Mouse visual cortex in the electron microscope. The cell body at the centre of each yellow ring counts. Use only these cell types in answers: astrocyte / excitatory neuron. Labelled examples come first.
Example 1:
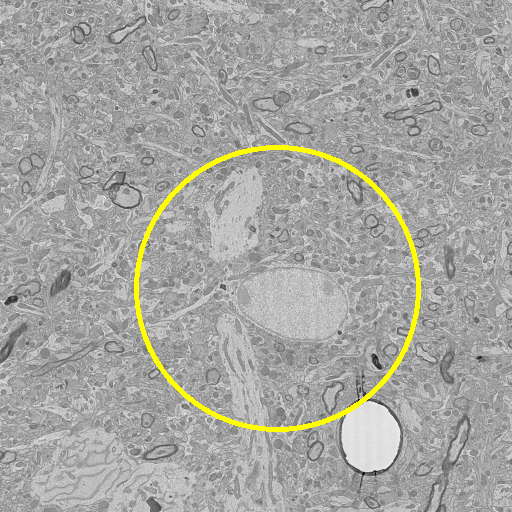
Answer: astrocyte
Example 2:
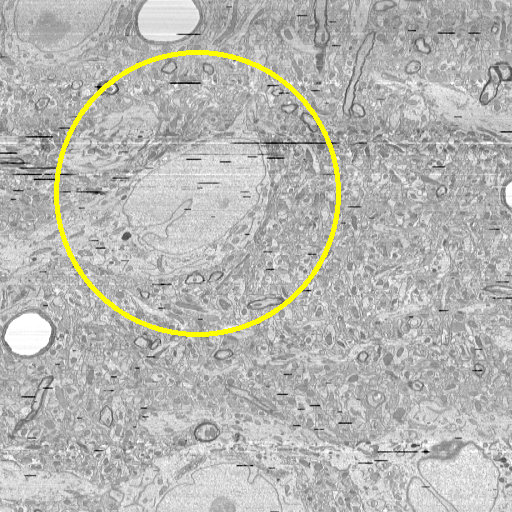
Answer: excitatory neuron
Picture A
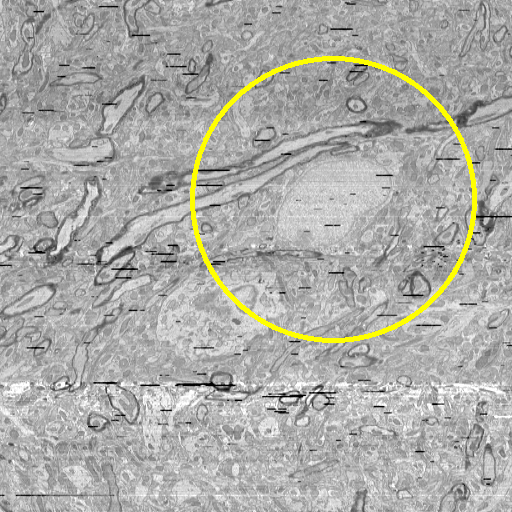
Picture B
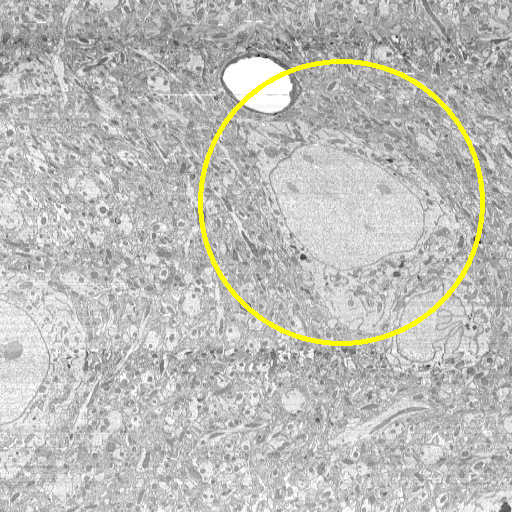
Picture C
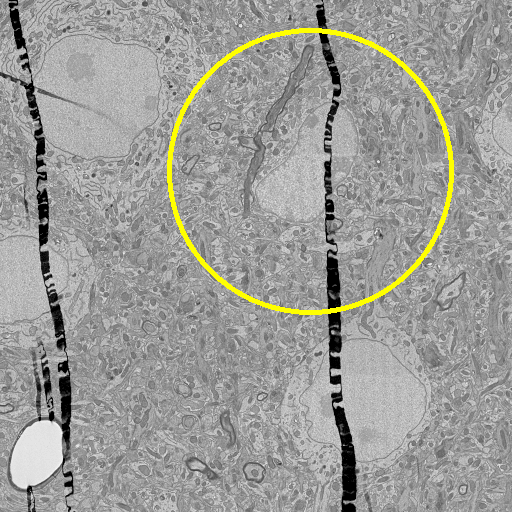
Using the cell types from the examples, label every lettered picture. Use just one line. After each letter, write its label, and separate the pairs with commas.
A astrocyte, B excitatory neuron, C astrocyte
